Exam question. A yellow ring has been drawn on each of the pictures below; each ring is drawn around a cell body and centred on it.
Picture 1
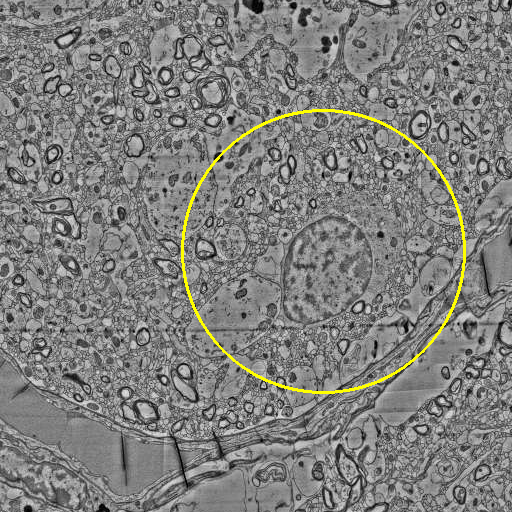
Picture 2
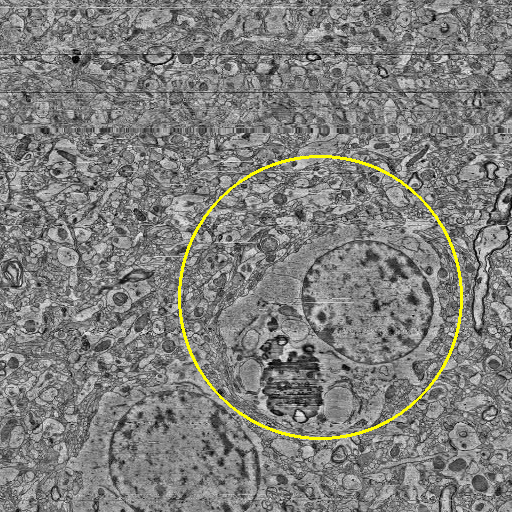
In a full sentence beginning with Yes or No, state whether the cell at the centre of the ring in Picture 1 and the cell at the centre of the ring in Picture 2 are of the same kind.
No, the cells are of two kinds.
